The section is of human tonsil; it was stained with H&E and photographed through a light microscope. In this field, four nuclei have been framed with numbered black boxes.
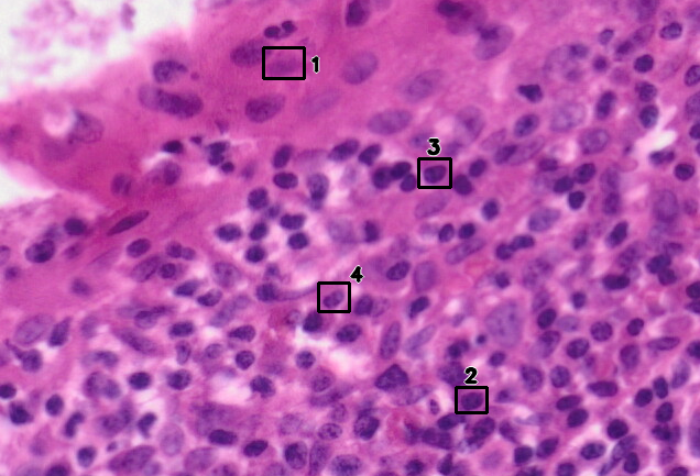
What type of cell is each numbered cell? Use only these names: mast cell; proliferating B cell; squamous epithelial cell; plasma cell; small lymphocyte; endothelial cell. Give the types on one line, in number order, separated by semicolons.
squamous epithelial cell; plasma cell; plasma cell; plasma cell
